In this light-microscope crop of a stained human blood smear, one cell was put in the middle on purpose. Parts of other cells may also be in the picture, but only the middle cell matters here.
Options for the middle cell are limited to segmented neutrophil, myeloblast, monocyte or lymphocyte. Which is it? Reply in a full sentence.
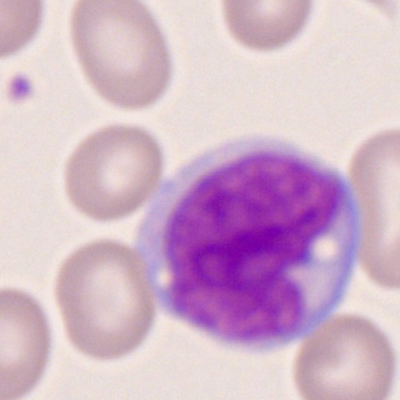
The cell occupying the middle of the crop is a monocyte.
